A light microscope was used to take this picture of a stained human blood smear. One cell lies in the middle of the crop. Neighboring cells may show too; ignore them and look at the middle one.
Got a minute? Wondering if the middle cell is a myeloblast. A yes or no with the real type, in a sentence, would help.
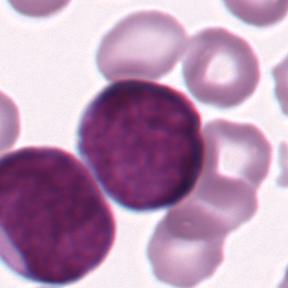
Yes, at the centre of the crop lies a myeloblast.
